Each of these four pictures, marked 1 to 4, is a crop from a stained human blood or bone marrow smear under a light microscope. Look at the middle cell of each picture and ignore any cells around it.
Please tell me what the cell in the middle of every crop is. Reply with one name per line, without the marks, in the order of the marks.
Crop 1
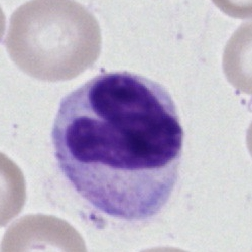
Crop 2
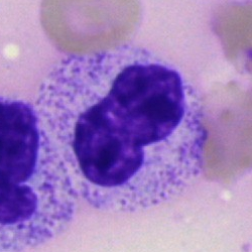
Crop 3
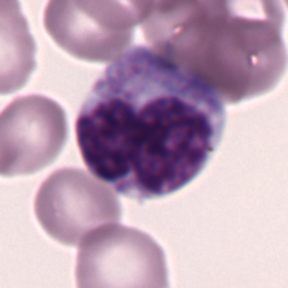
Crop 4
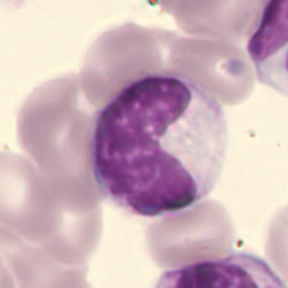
band neutrophil
metamyelocyte
monocyte
metamyelocyte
